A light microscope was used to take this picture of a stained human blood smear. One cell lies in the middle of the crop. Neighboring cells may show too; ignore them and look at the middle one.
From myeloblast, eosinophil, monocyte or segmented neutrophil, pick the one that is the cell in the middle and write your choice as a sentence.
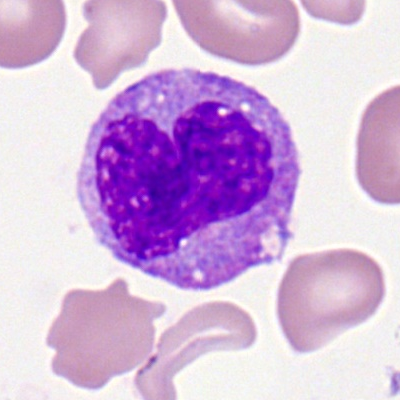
The cell occupying the middle of the crop is a monocyte.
